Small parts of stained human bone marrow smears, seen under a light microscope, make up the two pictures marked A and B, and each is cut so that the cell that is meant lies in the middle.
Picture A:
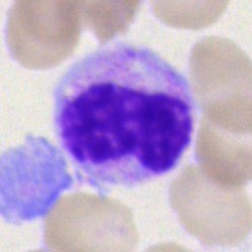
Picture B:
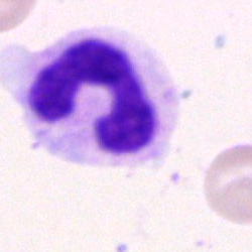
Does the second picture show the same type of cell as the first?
no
